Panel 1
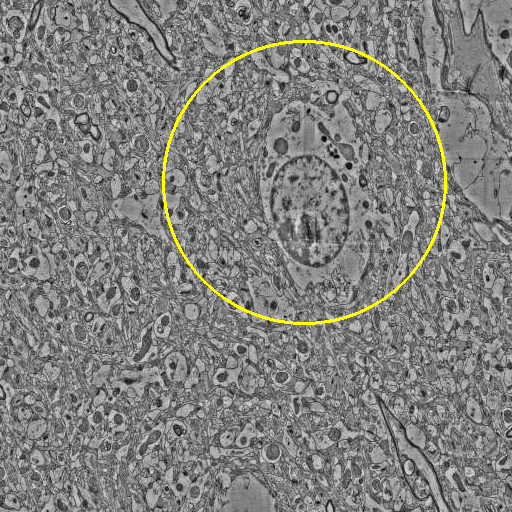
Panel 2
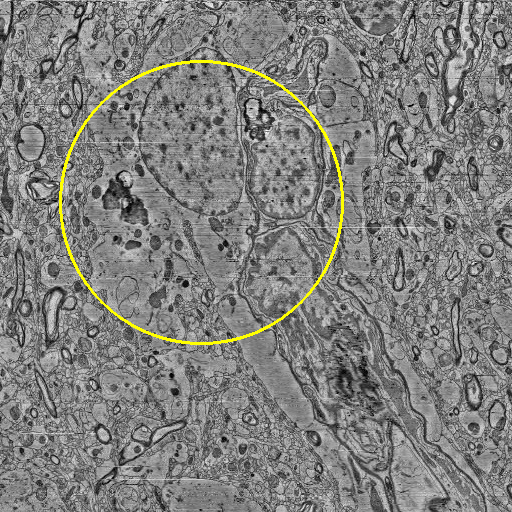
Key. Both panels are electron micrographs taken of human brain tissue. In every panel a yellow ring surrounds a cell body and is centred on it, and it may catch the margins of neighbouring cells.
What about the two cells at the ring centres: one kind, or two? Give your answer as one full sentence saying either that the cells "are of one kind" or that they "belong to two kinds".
Across Panels 1 and 2, the two cells at the ring centres are of one kind.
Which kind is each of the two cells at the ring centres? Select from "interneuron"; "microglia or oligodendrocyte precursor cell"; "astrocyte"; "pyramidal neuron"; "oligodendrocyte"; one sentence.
Each cell, in the first picture and the second, is an astrocyte.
